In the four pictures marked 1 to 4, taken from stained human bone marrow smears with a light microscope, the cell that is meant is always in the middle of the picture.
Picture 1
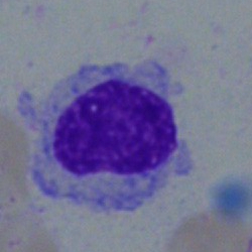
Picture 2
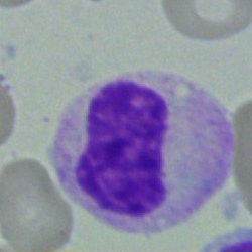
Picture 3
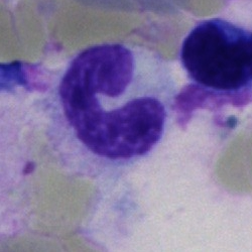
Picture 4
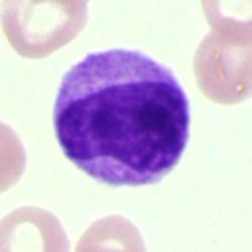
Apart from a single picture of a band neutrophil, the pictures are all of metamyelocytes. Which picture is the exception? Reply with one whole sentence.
The picture with the band neutrophil is 3.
